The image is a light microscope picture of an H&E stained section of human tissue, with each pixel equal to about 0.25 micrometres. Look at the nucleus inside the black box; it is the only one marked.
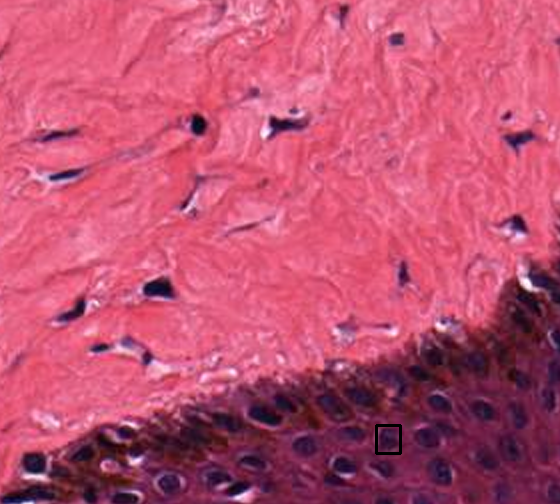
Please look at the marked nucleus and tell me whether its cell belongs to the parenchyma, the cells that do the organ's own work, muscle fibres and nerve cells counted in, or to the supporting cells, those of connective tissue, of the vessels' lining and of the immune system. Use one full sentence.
To a parenchymal cell, namely a keratinocyte, belongs the marked nucleus.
